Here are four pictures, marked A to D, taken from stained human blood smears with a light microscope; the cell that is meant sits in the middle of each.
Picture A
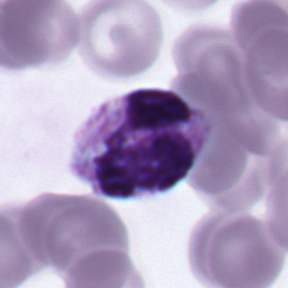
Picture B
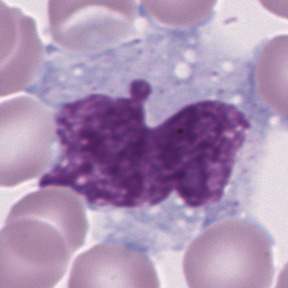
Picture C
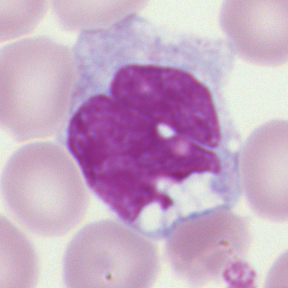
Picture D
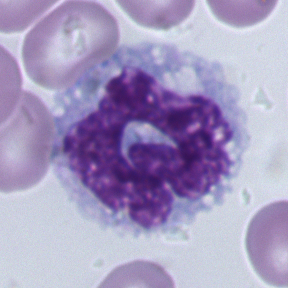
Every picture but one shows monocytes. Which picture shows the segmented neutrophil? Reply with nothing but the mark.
A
